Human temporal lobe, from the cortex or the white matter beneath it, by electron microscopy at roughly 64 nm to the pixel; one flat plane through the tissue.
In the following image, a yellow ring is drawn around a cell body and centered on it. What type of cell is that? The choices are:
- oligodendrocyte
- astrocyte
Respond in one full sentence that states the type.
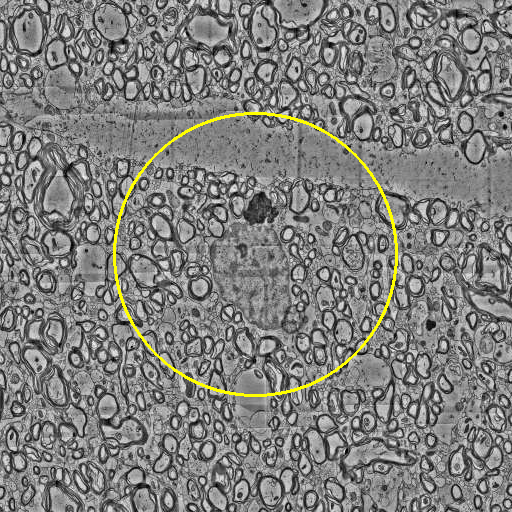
The cell at the center of the yellow ring in the image is an oligodendrocyte.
